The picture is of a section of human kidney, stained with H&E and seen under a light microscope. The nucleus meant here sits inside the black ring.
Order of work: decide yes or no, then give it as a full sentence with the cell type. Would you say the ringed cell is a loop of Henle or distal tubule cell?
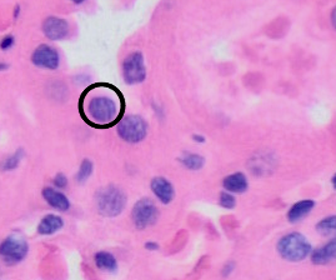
Yes, the ringed cell is to be classified as a loop of Henle or distal tubule cell.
